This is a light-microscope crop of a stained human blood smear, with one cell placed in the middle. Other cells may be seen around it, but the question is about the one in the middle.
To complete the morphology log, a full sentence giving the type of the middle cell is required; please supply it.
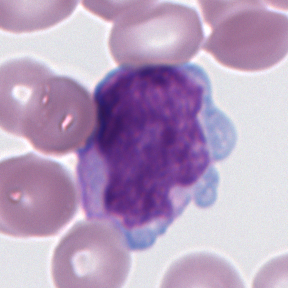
Here the centrally located cell is an atypical promyelocyte.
